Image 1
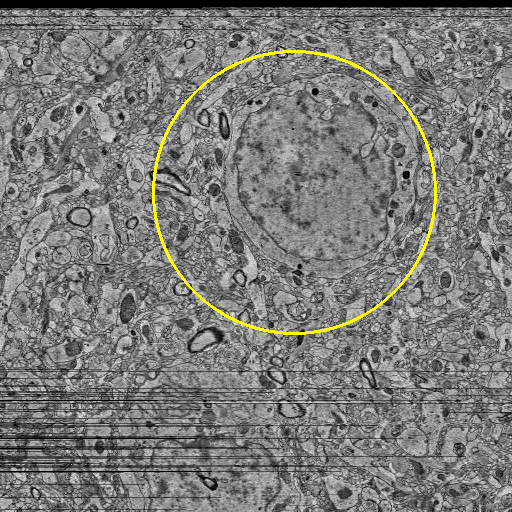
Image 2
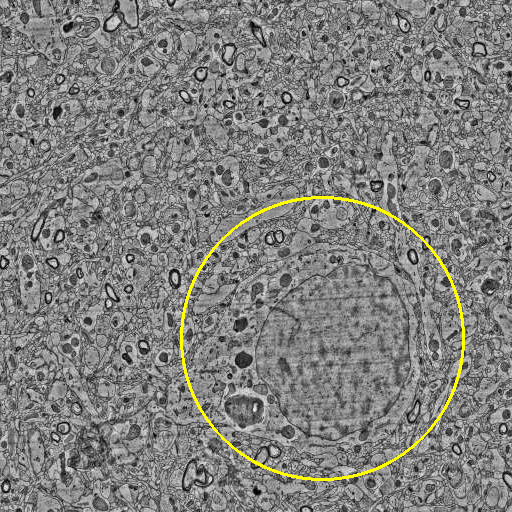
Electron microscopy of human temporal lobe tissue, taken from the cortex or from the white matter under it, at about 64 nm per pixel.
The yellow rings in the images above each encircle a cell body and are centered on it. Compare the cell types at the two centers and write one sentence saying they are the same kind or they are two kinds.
Taken together, the two cells at the ring centers are the same kind.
